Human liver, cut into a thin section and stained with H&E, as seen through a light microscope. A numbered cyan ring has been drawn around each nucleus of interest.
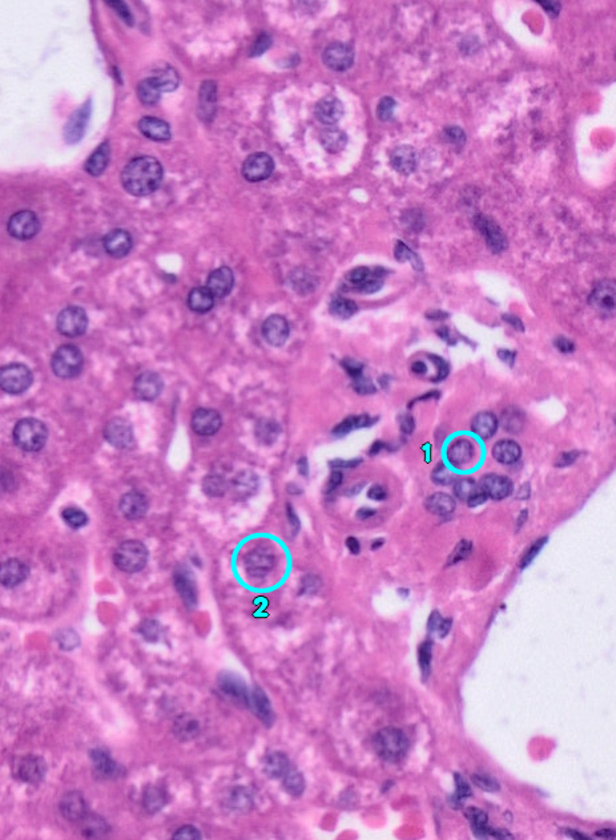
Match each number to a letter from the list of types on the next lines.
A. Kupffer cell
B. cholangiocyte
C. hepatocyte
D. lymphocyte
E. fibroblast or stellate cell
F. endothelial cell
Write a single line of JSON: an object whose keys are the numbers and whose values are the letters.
{"1": "B", "2": "C"}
